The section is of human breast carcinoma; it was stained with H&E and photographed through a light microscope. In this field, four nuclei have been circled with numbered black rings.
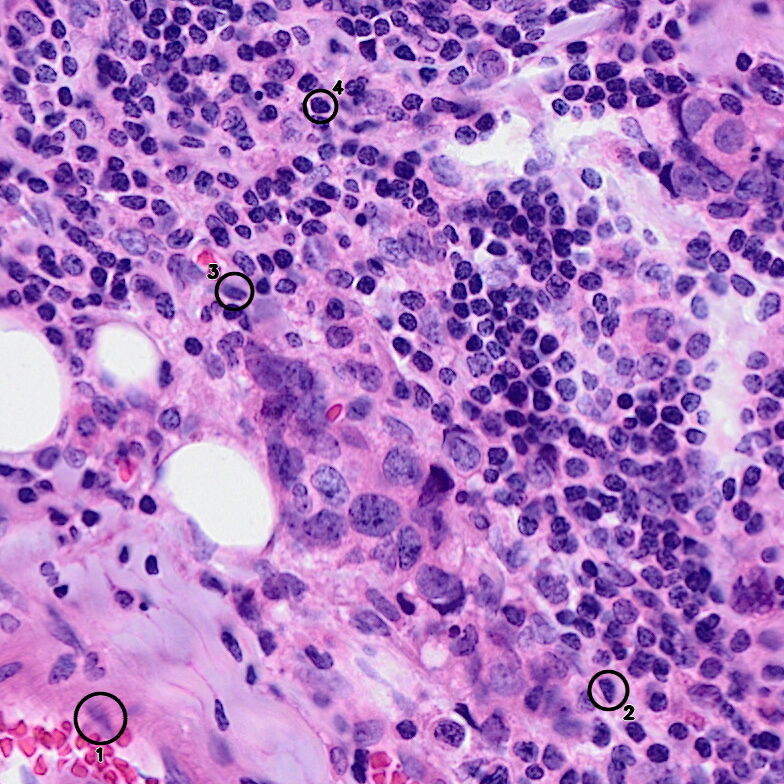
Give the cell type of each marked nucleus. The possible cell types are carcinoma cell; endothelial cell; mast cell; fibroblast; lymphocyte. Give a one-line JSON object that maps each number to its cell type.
{"1": "endothelial cell", "2": "lymphocyte", "3": "lymphocyte", "4": "lymphocyte"}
